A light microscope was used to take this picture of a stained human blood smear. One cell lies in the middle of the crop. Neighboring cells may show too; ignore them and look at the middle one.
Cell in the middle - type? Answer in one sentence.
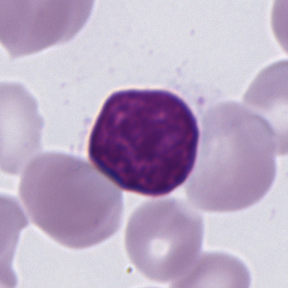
The cell nearest the centre of this crop is a smudge cell.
